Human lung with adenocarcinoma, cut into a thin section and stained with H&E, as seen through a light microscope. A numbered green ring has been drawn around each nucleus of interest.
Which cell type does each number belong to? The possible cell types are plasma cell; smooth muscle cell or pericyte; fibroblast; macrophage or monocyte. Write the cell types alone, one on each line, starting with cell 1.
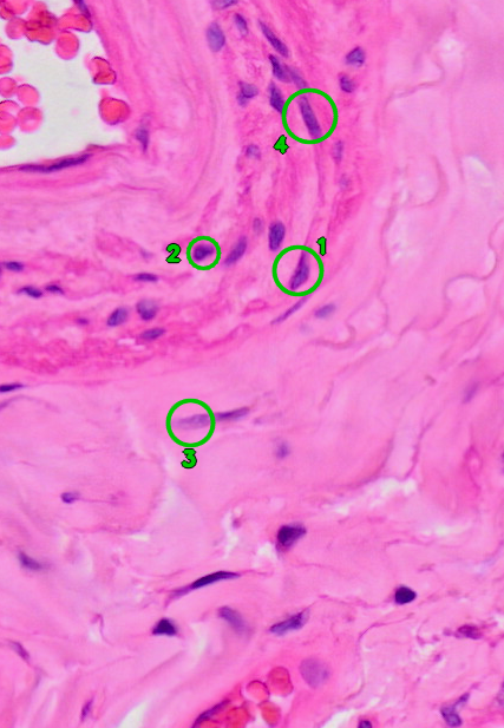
smooth muscle cell or pericyte
smooth muscle cell or pericyte
fibroblast
smooth muscle cell or pericyte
